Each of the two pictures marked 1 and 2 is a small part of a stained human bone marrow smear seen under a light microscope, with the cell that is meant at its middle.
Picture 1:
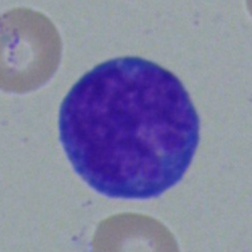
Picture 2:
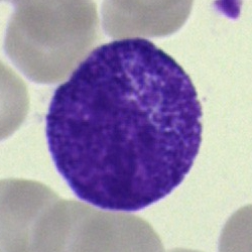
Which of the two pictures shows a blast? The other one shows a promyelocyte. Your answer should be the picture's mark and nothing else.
1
